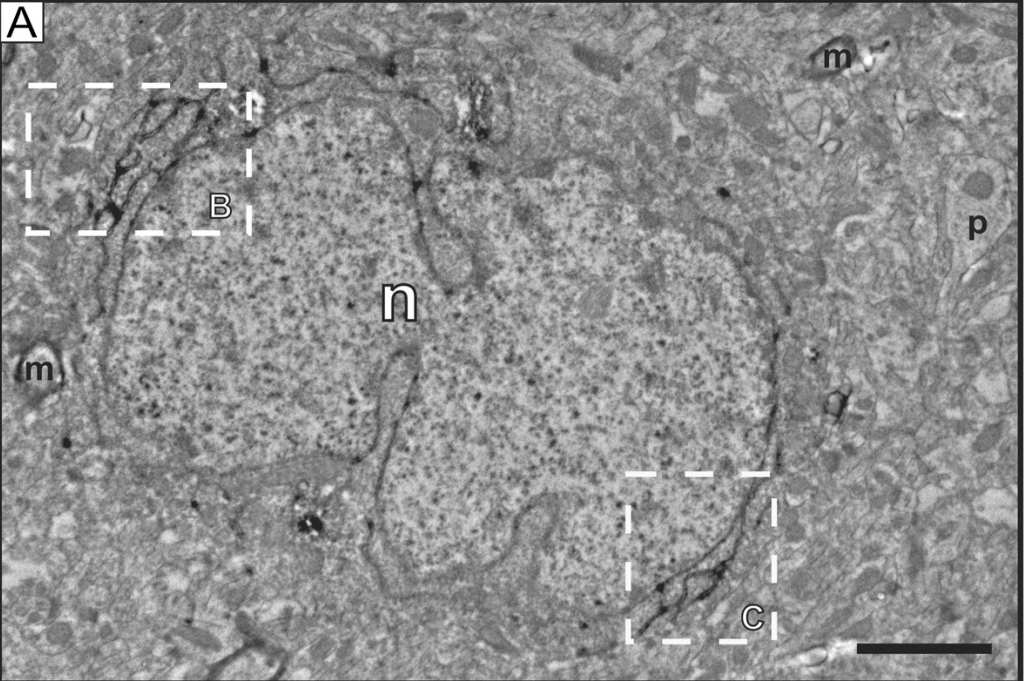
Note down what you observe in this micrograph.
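Around the nucleus lies a thin rim of cytoplasm in which dark, dense deposits outline elongated membrane profiles, most clearly at the upper left and lower right edges. Outside the cell lies the neuropil, a dense packing of cut profiles of processes, among them a few ringed by dark myelin sheaths.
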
